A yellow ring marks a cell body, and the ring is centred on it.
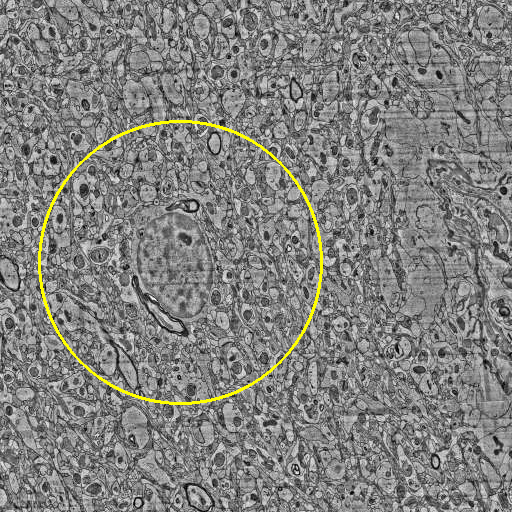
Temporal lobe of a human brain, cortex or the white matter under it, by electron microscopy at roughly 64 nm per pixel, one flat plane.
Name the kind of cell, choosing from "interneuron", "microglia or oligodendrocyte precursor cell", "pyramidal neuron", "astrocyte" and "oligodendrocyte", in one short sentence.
The marked cell body belongs to an oligodendrocyte.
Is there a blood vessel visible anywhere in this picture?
Yes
